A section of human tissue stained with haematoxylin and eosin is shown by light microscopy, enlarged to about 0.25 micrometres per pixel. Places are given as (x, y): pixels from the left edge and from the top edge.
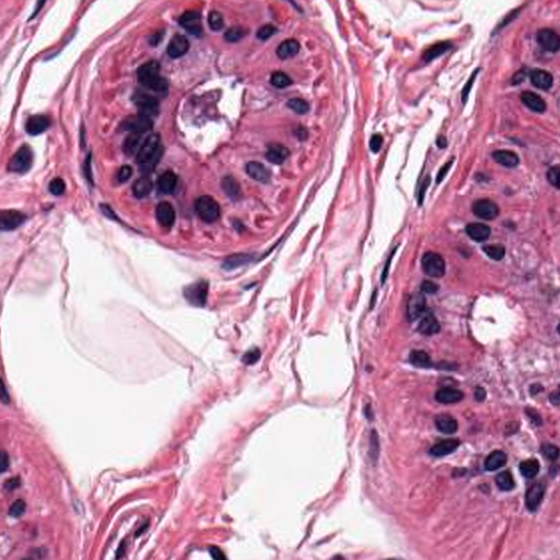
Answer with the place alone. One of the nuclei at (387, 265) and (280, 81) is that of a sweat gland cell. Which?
(280, 81)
